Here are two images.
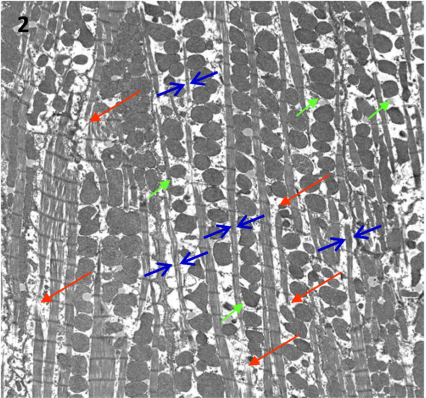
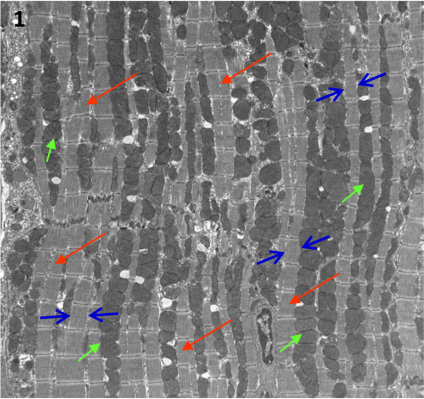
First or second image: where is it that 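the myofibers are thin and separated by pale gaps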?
the first image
